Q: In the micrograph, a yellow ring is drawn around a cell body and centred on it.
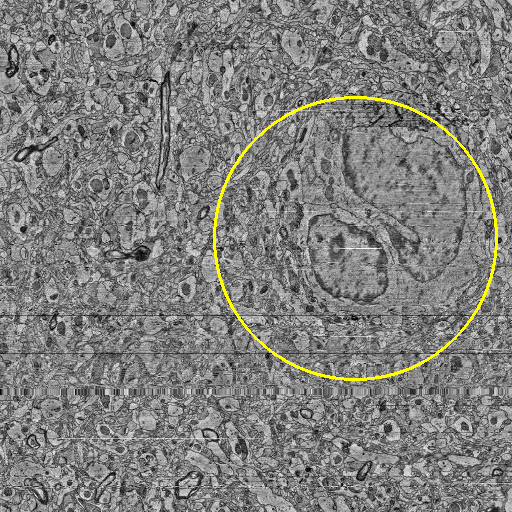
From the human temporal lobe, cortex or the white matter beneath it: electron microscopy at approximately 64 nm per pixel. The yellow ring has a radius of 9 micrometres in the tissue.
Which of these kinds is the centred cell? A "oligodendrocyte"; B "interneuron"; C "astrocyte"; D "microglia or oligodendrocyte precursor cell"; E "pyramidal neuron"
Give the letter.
D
